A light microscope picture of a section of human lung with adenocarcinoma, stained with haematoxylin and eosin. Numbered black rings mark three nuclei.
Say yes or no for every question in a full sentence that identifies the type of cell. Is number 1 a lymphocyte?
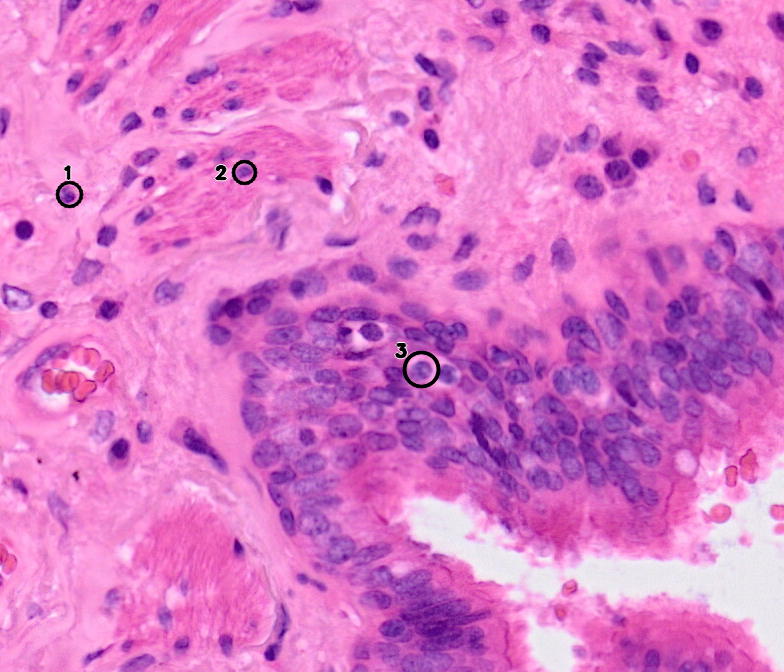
No, cell 1, which is a mast cell, is not a lymphocyte.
